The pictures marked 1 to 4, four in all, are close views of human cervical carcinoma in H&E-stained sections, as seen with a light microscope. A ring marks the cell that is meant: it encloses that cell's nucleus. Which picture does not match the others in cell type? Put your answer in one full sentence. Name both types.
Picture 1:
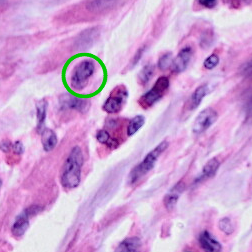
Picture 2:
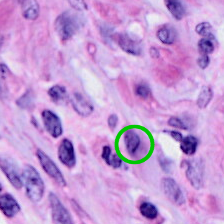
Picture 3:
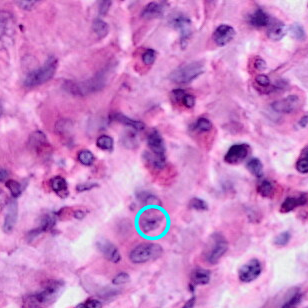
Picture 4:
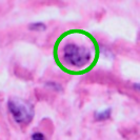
Unlike the rest, which show “macrophages or monocytes”, picture 3 shows an endothelial cell.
